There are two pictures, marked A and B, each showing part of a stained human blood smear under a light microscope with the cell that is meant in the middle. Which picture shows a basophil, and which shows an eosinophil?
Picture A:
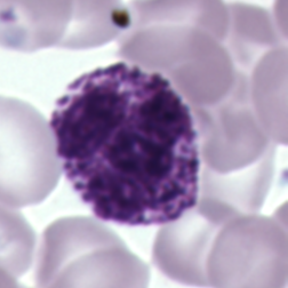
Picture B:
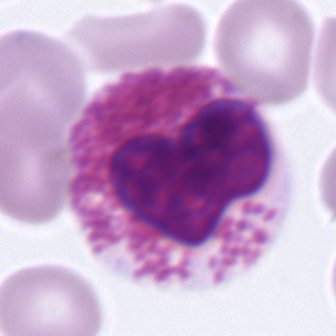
A: basophil
B: eosinophil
